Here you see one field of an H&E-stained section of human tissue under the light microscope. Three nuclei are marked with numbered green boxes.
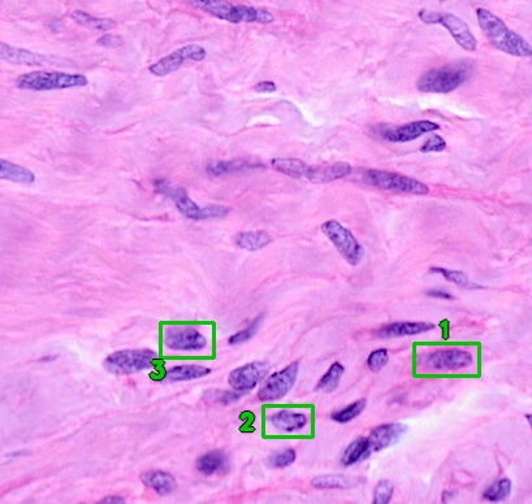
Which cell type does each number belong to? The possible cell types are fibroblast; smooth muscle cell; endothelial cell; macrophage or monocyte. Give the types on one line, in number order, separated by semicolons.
smooth muscle cell; fibroblast; fibroblast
